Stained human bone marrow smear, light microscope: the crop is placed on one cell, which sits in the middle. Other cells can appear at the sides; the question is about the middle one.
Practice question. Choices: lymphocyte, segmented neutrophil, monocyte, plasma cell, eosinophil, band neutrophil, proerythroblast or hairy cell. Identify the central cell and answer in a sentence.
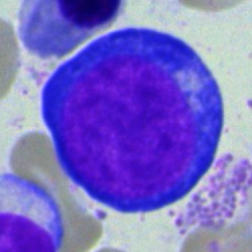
The cell nearest the centre of this crop is a proerythroblast.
